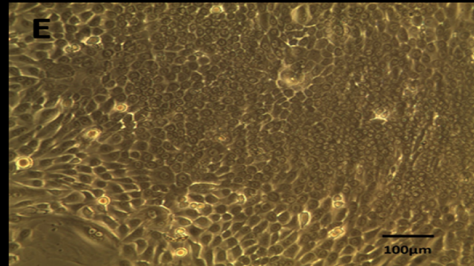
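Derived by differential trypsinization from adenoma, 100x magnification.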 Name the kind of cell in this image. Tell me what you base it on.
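Epithelial cells. Densely packed rounded to polygonal cells forming a sheet. Cobblestone pattern across most of the field.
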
